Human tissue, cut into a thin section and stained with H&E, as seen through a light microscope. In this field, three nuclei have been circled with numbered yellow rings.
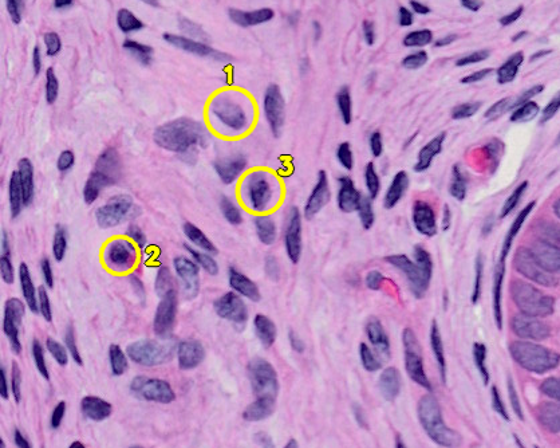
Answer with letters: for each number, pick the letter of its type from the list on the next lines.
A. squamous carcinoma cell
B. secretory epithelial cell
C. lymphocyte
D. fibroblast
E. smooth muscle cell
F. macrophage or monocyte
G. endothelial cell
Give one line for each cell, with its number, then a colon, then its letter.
1: D
2: G
3: D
